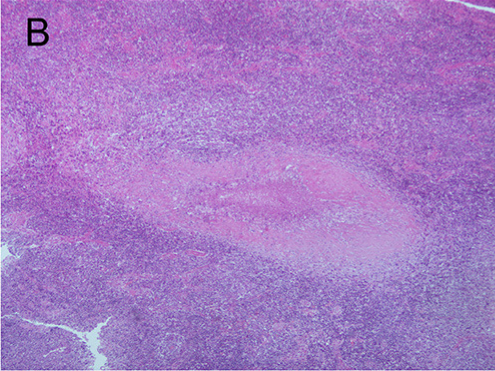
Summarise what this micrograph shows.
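Low-power view of a granulomatous inflammatory lesion with an elongated central zone of necrotic material. The centre is pale pink and largely acellular, with an irregular, streaked outline. Further out the tissue remains crowded with cells, with slightly paler pink areas between them. Small clear clefts lie at the edges of the section.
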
